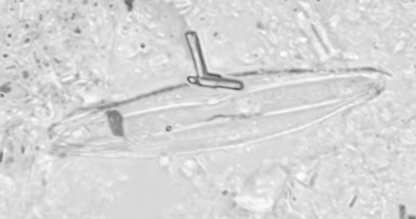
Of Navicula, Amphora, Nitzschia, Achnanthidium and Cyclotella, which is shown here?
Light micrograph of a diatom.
Navicula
